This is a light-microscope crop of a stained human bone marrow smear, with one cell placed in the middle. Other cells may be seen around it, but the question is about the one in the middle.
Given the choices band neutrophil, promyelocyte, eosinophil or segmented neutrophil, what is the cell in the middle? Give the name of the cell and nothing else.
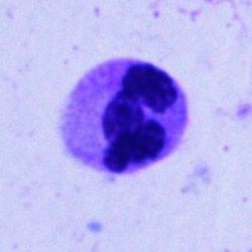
segmented neutrophil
